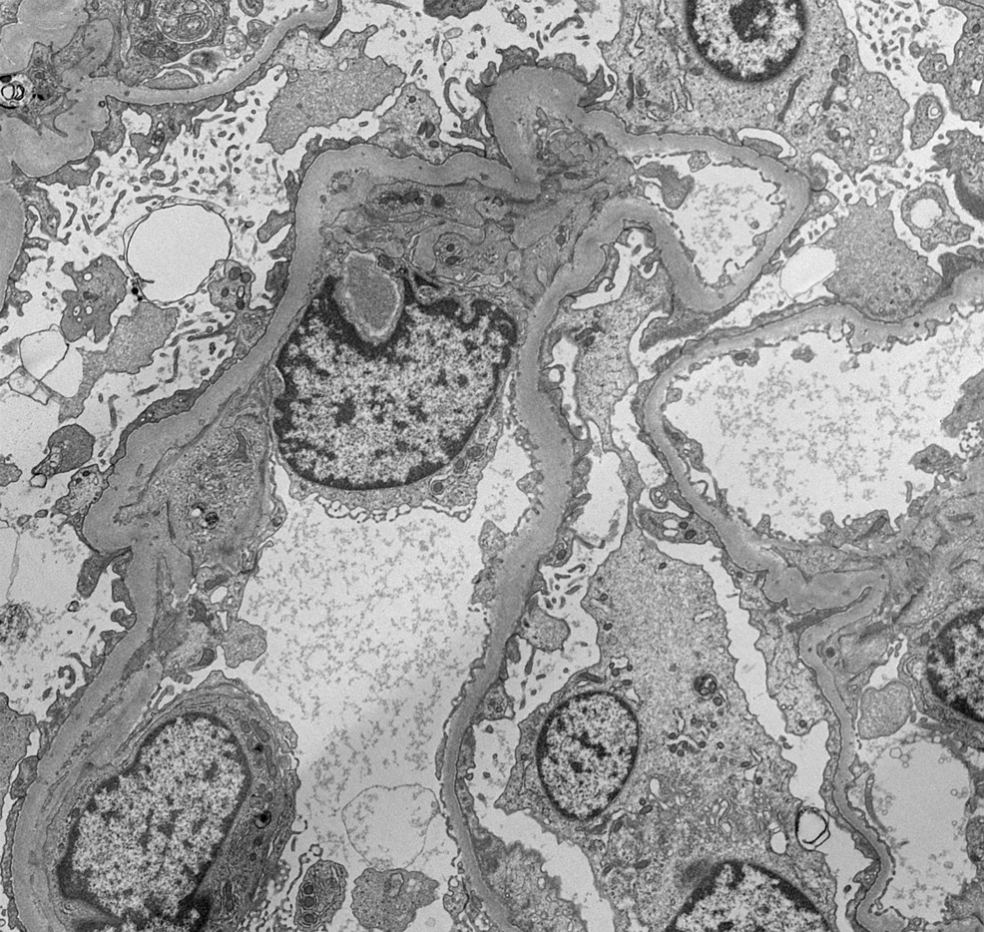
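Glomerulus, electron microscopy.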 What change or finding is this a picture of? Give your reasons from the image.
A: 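Dark-grey basement membranes run as winding bands around open capillary loops. On the outer side of these membranes the epithelial cytoplasm lies as a flat, continuous layer. Separate, regularly spaced foot processes are scarcely seen along the loops.
Conclusion: extensive effacement of visceral epithelial cell foot processes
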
